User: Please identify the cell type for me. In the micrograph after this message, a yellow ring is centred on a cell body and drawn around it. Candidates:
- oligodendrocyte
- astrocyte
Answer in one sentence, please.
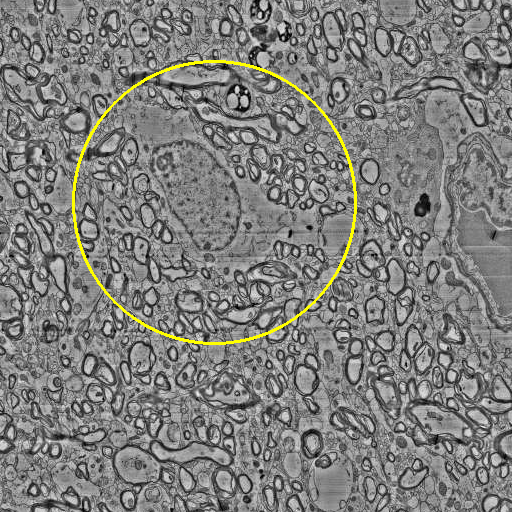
The ring is drawn around the cell body of an astrocyte.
